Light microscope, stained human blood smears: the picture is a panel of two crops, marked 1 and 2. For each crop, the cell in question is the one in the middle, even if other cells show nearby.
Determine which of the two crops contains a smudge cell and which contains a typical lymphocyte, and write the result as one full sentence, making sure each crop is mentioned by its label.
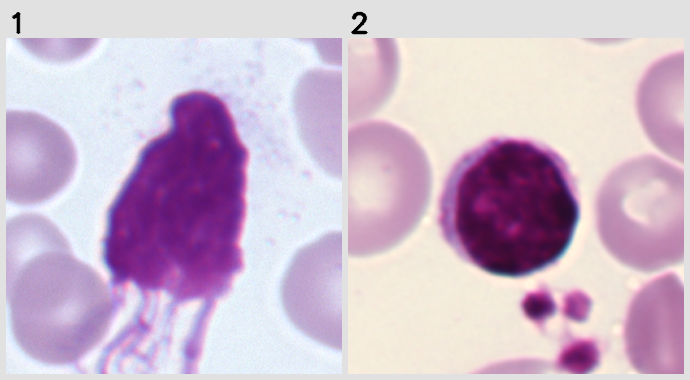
Crops 1 and 2 are, respectively, a smudge cell and a typical lymphocyte.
